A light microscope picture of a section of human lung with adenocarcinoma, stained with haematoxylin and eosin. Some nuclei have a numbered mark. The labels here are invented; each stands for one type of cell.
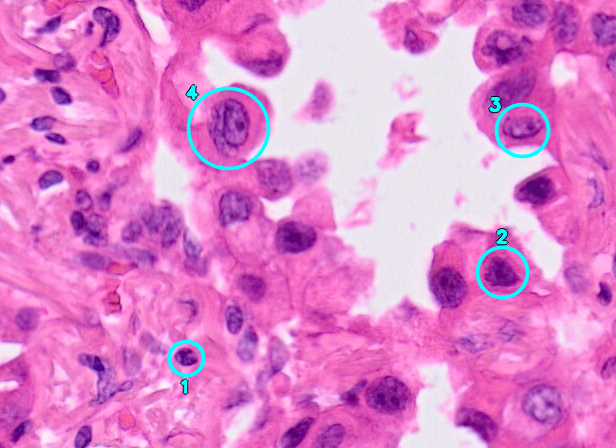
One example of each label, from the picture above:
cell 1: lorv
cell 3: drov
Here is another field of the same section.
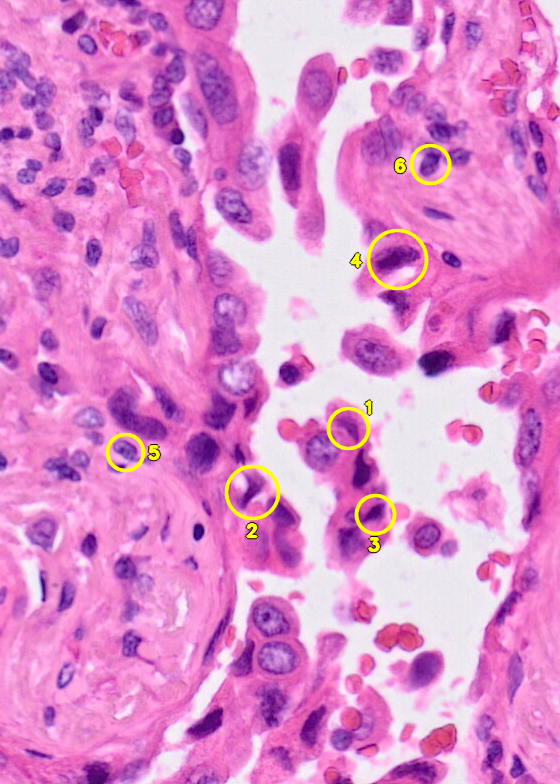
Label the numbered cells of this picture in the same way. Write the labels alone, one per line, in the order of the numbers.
drov
drov
drov
drov
lorv
lorv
